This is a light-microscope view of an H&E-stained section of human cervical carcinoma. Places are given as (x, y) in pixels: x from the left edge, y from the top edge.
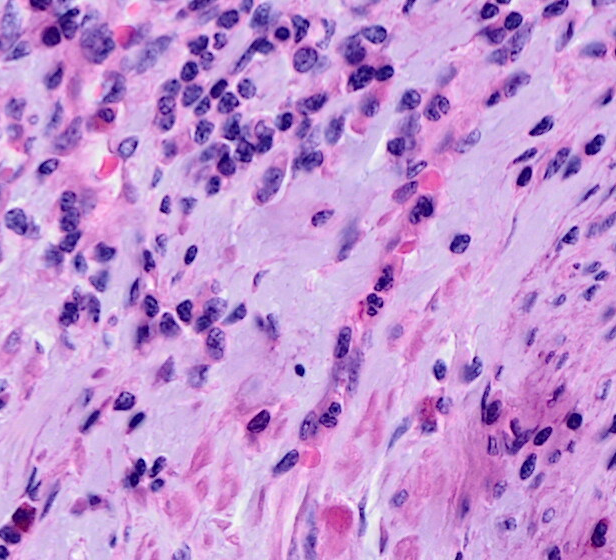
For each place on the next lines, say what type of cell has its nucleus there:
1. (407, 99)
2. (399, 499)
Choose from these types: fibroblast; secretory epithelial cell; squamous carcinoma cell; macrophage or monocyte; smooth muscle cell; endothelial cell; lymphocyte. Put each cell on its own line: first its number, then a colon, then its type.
1: lymphocyte
2: smooth muscle cell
